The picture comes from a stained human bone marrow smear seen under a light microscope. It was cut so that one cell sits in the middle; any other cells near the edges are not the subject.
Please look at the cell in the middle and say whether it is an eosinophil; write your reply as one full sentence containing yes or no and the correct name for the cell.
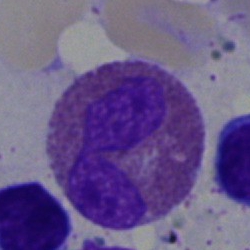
Yes, the cell in the middle has the identity of an eosinophil.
